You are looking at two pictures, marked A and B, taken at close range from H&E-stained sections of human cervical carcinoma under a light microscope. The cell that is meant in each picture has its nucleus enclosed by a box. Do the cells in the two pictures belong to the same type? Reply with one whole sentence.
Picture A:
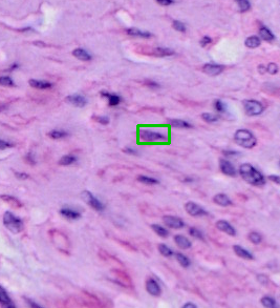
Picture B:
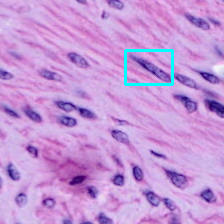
Yes; the cells in both pictures are smooth muscle cells.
